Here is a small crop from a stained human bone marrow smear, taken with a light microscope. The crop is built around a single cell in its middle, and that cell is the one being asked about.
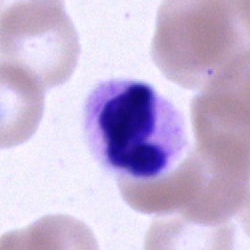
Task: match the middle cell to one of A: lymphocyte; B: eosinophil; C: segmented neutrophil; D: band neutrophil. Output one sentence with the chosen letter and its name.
The cell at the heart of the crop is a segmented neutrophil, so choose option C.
